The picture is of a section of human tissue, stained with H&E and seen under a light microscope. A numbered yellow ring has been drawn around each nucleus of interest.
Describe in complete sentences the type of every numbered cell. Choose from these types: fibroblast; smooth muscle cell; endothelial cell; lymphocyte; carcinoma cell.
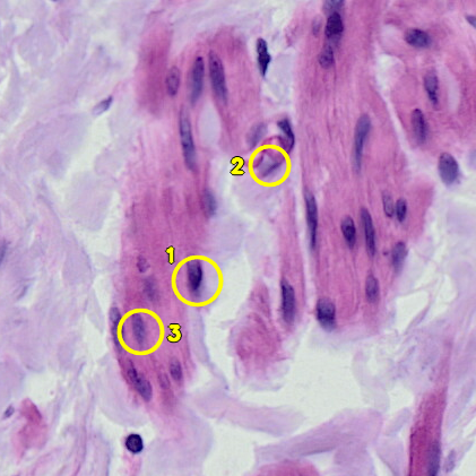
Cells 1 and 3 are smooth muscle cells. Cell 2 is an endothelial cell.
